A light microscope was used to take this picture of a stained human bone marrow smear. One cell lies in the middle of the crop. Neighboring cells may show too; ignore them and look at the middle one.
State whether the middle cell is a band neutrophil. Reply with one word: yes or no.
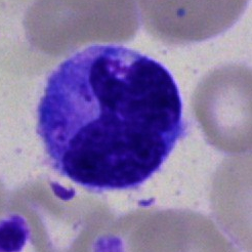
no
